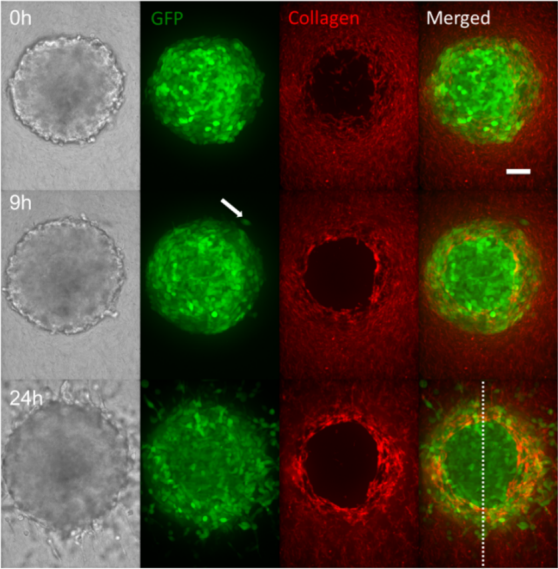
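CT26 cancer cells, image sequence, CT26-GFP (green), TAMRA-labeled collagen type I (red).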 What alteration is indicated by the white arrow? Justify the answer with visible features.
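The white arrow points to a small green body at the edge of the green sphere. The marked green body lies just outside the sphere's outline, in the red meshwork. On this evidence: Cells initiate invasion.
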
